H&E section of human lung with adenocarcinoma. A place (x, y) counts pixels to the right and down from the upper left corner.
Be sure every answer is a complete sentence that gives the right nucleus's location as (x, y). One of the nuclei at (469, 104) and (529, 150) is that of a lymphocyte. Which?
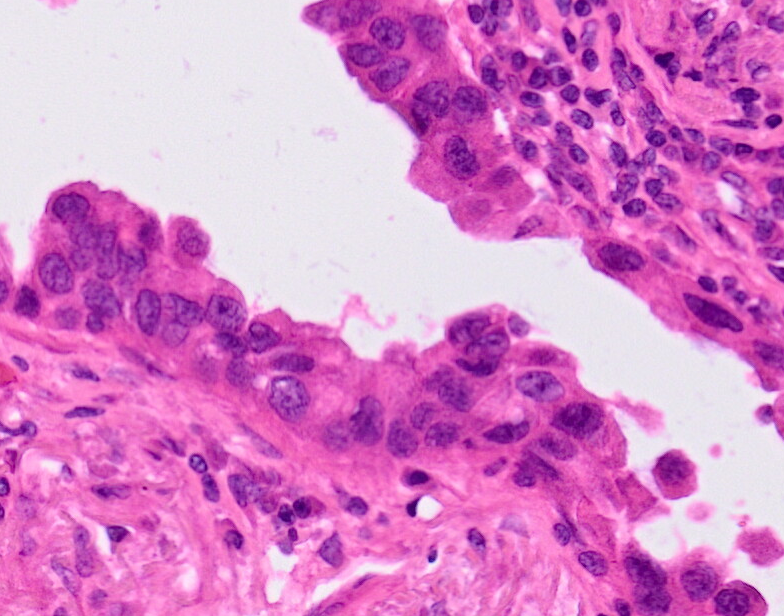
Which one belongs to a lymphocyte? The nucleus at (529, 150) does.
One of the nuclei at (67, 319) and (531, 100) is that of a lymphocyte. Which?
The nucleus of a lymphocyte is the one at (531, 100).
